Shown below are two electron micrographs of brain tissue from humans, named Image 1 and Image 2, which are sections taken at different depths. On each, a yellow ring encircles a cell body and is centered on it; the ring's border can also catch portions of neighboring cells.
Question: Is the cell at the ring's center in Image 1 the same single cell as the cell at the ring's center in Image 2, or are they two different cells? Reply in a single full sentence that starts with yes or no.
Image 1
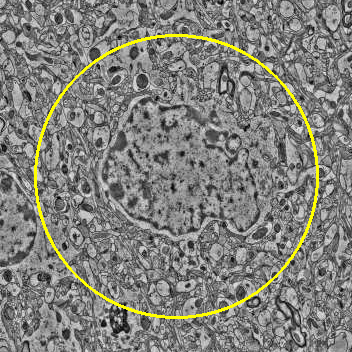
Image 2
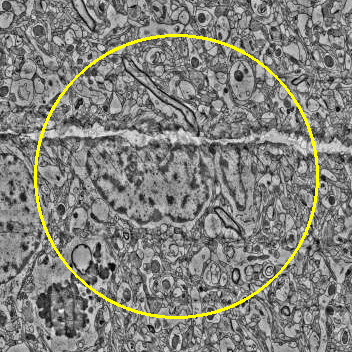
Yes, the same cell has been marked in both yellow rings.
